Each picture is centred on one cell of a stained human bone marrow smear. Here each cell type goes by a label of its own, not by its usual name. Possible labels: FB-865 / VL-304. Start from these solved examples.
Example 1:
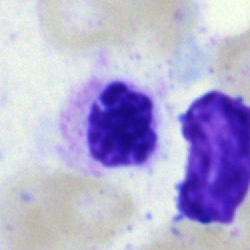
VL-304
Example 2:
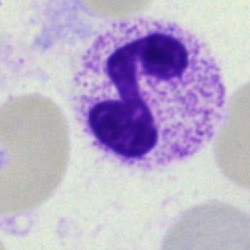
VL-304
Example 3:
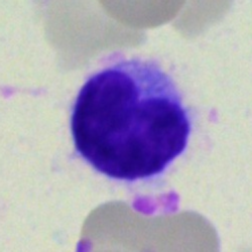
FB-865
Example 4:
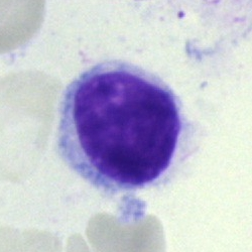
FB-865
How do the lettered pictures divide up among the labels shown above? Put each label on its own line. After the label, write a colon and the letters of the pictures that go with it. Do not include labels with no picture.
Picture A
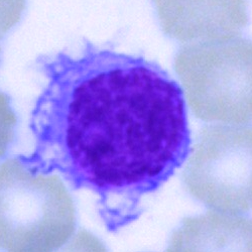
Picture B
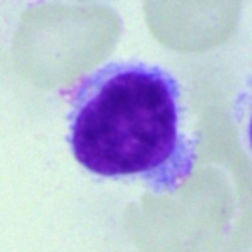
FB-865: A, B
